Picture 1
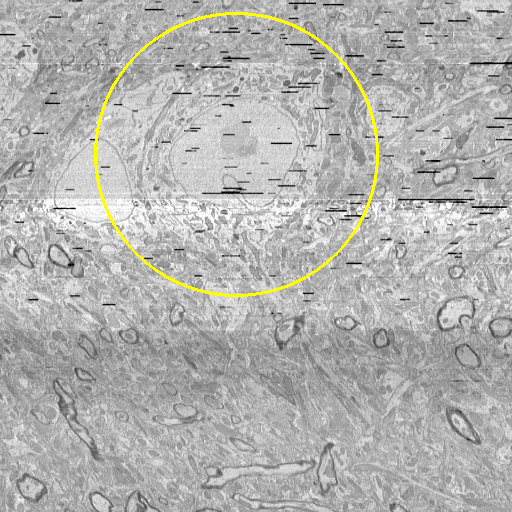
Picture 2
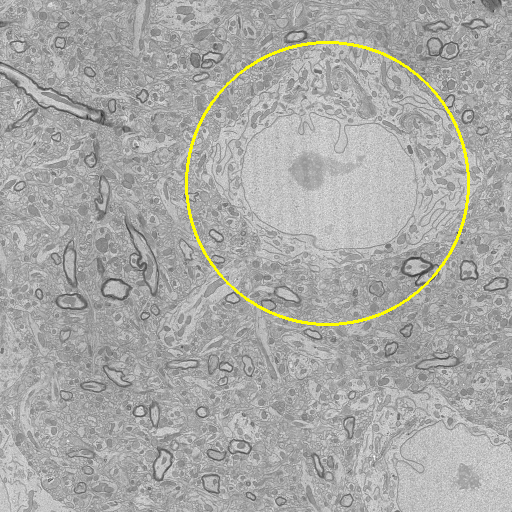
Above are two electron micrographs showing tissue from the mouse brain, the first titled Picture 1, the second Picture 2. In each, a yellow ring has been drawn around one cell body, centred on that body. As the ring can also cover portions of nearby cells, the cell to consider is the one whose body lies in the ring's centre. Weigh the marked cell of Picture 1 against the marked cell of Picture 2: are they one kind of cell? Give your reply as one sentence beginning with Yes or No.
No, the two cells sitting at the ring centres in the pictures are of two kinds.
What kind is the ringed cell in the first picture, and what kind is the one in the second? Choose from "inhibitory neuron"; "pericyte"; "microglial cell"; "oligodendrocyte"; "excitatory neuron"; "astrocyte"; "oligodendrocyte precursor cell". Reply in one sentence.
The first cell is an inhibitory neuron; the second is an excitatory neuron.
